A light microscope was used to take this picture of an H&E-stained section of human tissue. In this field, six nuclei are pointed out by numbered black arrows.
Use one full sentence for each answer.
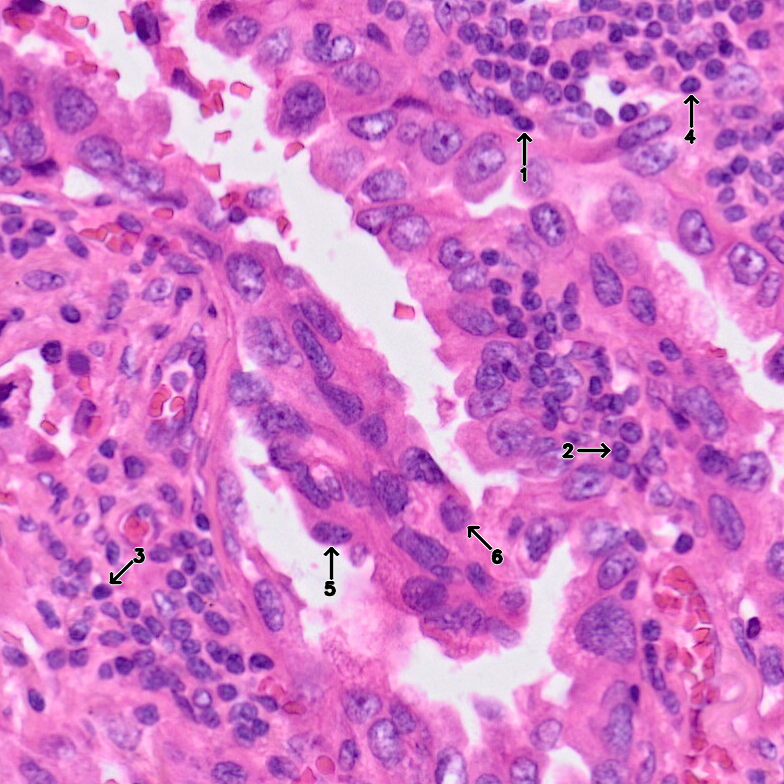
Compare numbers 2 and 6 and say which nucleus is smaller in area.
The smaller nucleus is 2, and 6 covers roughly 2.5 times its area.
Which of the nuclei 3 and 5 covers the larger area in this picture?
The larger nucleus is 5, at roughly 2.5 times the area of 3.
